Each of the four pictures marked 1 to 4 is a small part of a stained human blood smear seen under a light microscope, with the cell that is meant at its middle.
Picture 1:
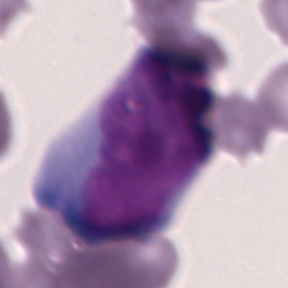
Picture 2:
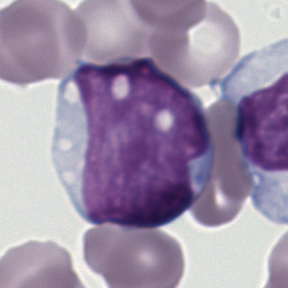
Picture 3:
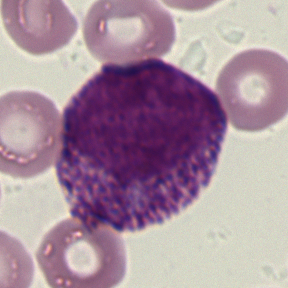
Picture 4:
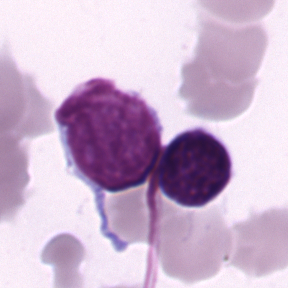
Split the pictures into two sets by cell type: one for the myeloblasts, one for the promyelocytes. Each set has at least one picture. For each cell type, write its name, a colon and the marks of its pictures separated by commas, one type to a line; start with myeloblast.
myeloblast: 1, 2, 4
promyelocyte: 3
